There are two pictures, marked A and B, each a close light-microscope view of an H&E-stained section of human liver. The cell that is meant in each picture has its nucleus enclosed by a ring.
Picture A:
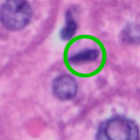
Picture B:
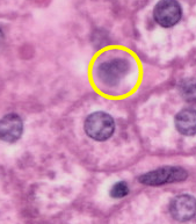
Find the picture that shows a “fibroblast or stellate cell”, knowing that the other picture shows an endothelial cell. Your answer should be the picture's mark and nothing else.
A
